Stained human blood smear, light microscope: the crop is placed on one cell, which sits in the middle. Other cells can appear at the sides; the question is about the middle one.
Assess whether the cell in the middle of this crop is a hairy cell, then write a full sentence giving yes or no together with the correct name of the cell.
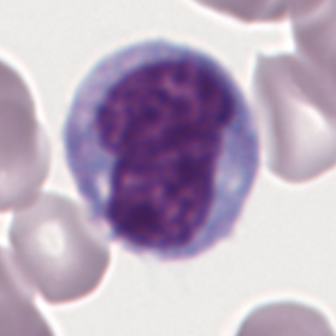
No, the middle cell is classified as a monocyte instead of a hairy cell.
